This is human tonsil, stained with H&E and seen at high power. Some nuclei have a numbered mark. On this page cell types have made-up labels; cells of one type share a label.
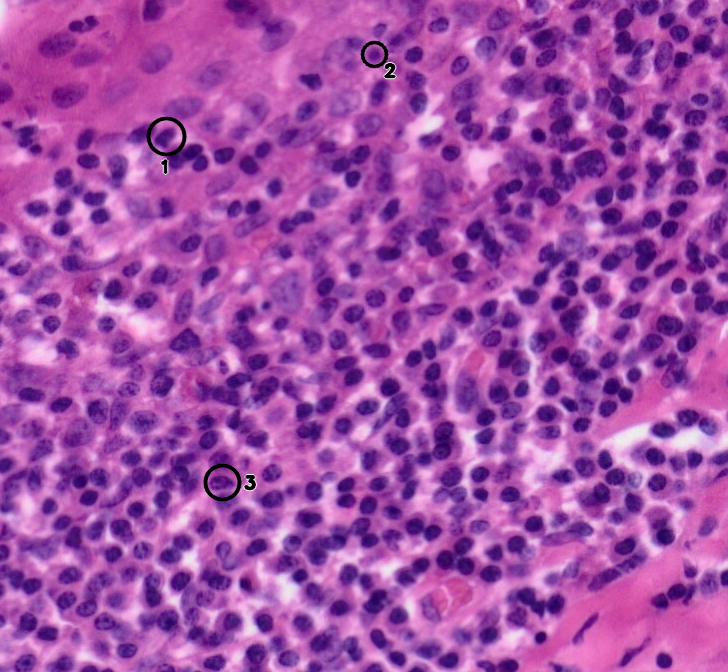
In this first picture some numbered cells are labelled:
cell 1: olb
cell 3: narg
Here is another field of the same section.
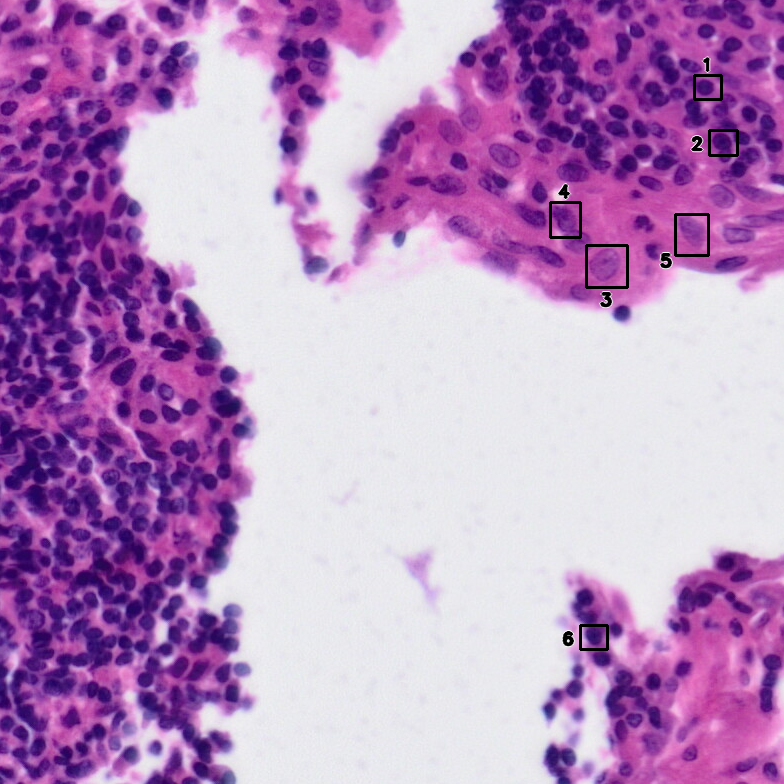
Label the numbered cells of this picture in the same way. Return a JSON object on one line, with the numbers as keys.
{"1": "narg", "2": "narg", "3": "olb", "4": "olb", "5": "olb", "6": "narg"}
